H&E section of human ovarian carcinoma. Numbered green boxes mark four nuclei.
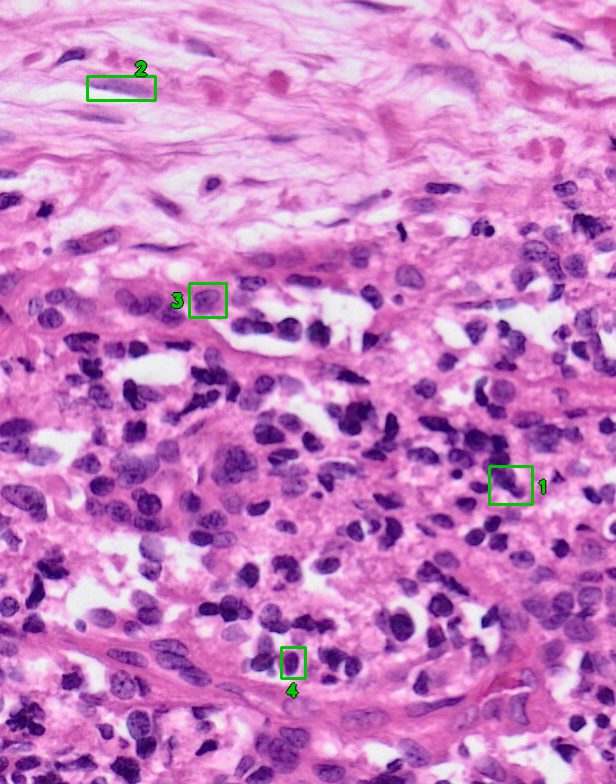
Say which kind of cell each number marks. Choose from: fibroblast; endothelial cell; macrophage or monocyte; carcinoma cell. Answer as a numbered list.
1. carcinoma cell
2. fibroblast
3. carcinoma cell
4. carcinoma cell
